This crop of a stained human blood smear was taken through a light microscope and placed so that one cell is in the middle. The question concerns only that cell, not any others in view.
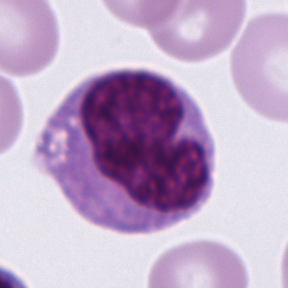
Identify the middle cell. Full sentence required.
The target cell in the middle of the crop is a monocyte.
